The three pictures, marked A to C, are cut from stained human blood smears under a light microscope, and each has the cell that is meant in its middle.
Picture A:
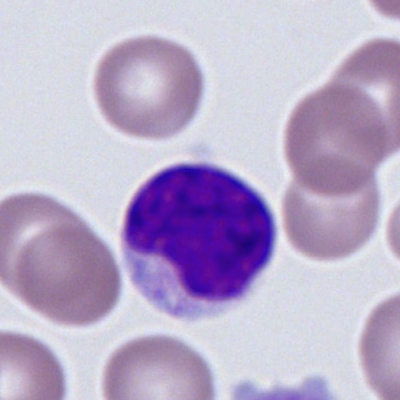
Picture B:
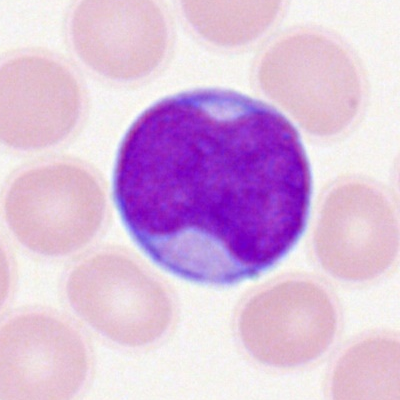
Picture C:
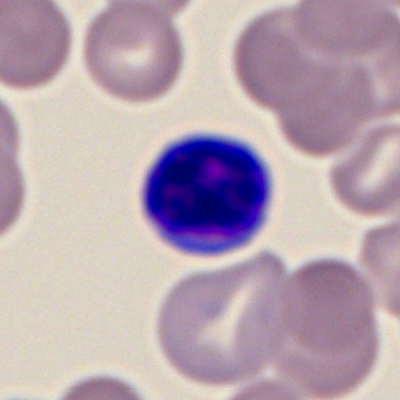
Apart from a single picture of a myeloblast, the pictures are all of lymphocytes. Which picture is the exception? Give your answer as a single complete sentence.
The myeloblast is the one in picture B.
